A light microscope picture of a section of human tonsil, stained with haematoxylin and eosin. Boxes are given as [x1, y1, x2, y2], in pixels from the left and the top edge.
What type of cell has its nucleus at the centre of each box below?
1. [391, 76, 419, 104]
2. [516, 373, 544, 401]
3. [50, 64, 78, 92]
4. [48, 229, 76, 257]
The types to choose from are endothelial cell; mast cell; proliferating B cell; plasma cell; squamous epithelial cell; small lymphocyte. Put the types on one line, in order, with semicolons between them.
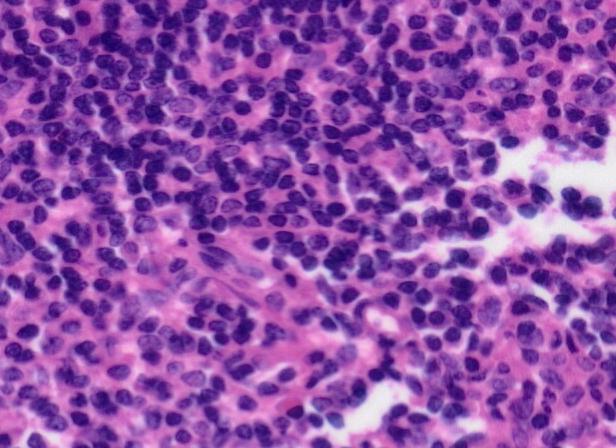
small lymphocyte; endothelial cell; small lymphocyte; small lymphocyte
